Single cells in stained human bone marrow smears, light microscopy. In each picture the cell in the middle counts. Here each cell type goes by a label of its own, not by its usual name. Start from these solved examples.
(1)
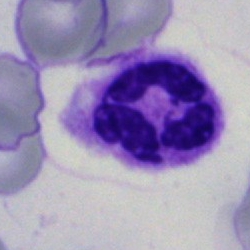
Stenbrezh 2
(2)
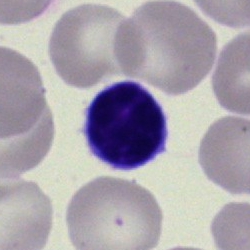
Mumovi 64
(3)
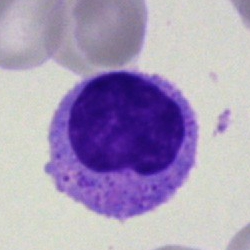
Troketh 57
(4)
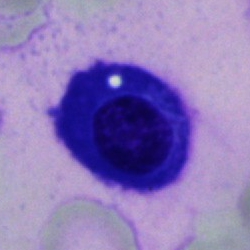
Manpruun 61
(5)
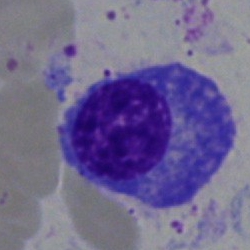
Manpruun 61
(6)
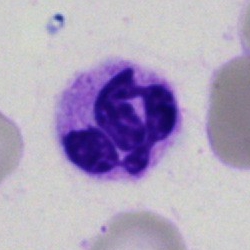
Stenbrezh 2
